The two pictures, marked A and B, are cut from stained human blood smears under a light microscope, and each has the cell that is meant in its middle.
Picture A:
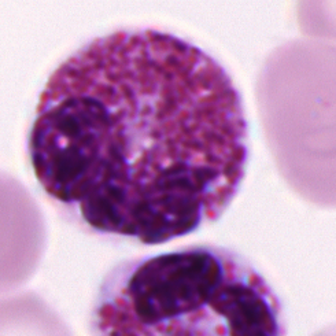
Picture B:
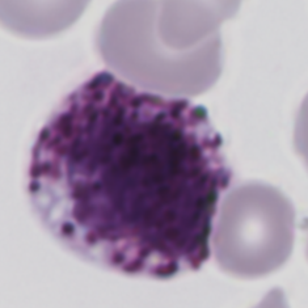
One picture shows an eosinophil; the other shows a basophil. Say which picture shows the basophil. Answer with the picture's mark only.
B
